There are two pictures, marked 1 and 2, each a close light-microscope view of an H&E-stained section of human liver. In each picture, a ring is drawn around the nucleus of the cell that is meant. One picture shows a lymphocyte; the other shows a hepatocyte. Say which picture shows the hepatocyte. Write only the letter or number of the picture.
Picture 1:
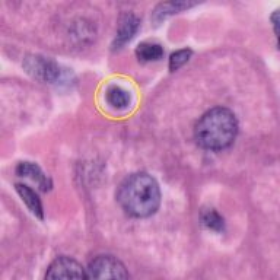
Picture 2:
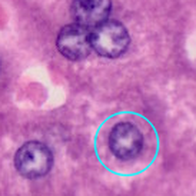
2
